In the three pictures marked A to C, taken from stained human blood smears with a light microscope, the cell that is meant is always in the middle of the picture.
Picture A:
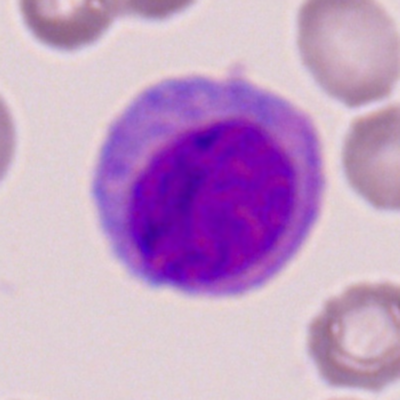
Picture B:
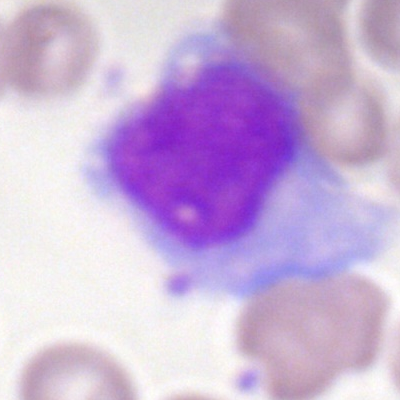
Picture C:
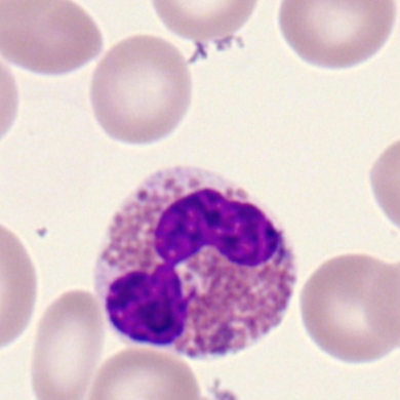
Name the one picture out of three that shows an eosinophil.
C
